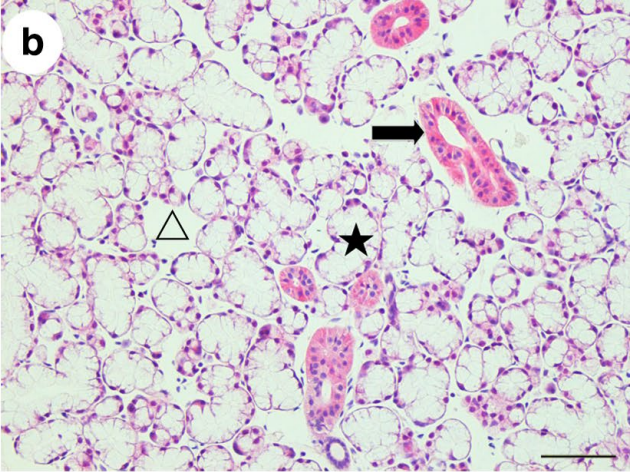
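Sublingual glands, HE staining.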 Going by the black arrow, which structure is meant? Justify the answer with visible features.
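The arrow points to a tube lined by cells with strongly pink cytoplasm. Its lining cells have round, centrally placed nuclei. A narrow lumen runs through the middle of the tube. So: striated duct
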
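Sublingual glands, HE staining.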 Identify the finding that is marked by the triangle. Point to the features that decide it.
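The triangle sits in a clear space between pale cell clusters. Clear spaces separate many of the rounded clusters across the panel. So: broadened gap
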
